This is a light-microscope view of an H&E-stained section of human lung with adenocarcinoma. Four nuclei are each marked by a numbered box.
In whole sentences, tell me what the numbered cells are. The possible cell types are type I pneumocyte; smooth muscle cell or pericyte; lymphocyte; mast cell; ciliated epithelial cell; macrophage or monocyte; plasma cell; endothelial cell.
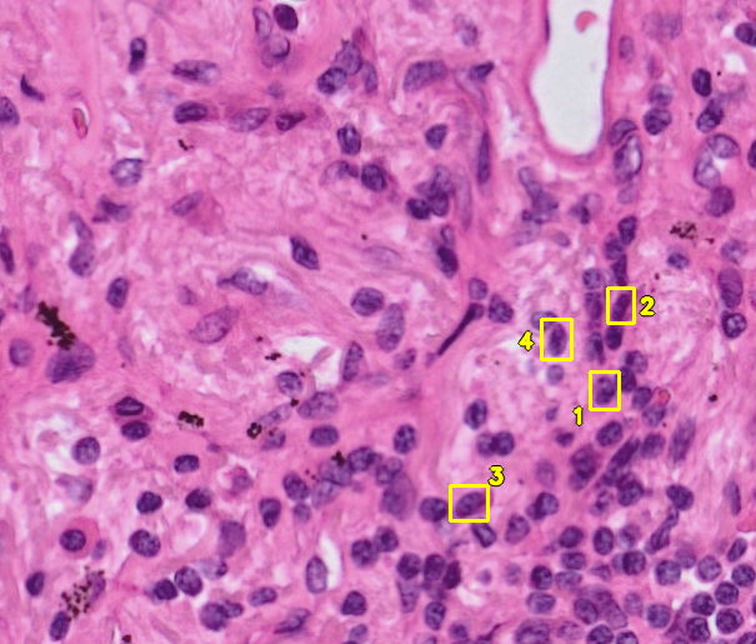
Cell 1 is a lymphocyte, cell 2 is a plasma cell, cell 3 is a lymphocyte and cell 4 is a lymphocyte.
